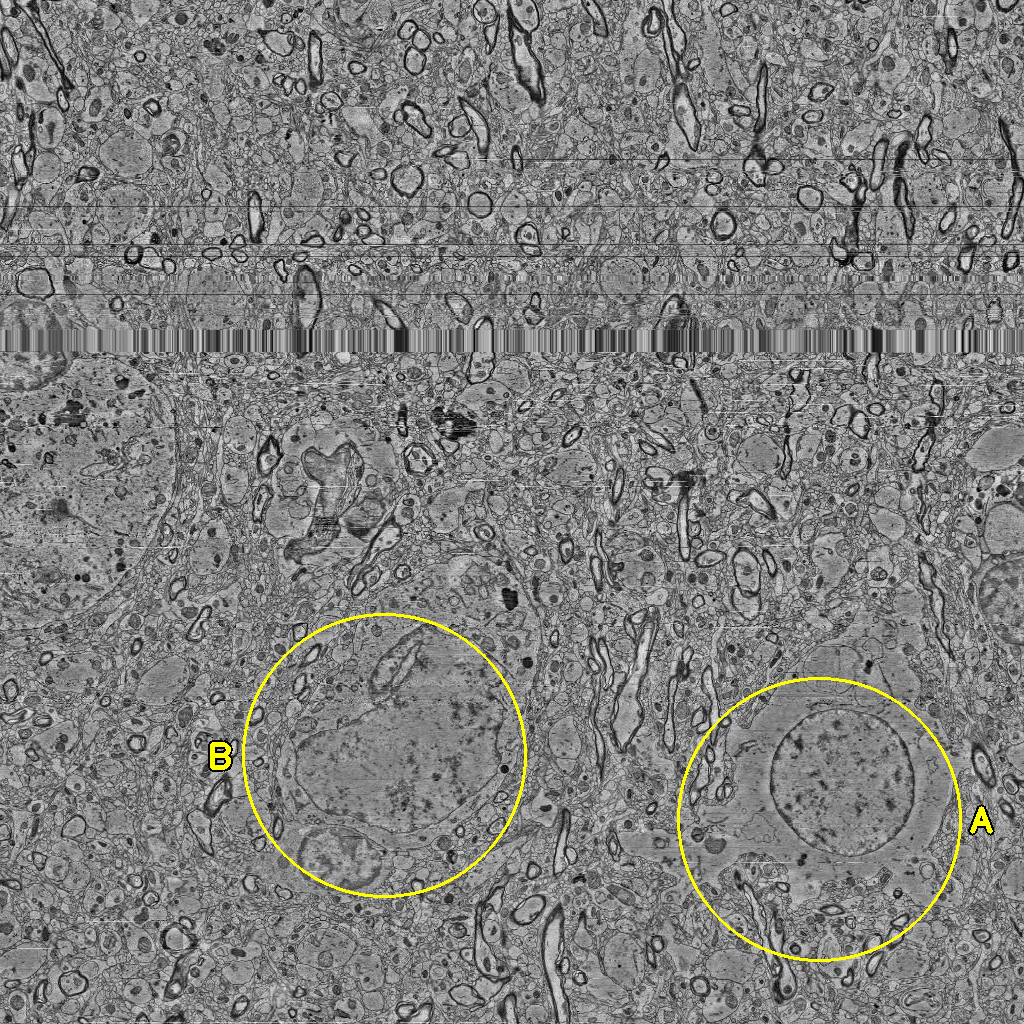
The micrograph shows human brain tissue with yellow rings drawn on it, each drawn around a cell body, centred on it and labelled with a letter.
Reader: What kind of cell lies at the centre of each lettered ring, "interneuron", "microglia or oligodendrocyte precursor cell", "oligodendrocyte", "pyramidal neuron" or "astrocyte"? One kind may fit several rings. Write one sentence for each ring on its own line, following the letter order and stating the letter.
At the centre of ring A lies an astrocyte.
At the centre of ring B lies an interneuron.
